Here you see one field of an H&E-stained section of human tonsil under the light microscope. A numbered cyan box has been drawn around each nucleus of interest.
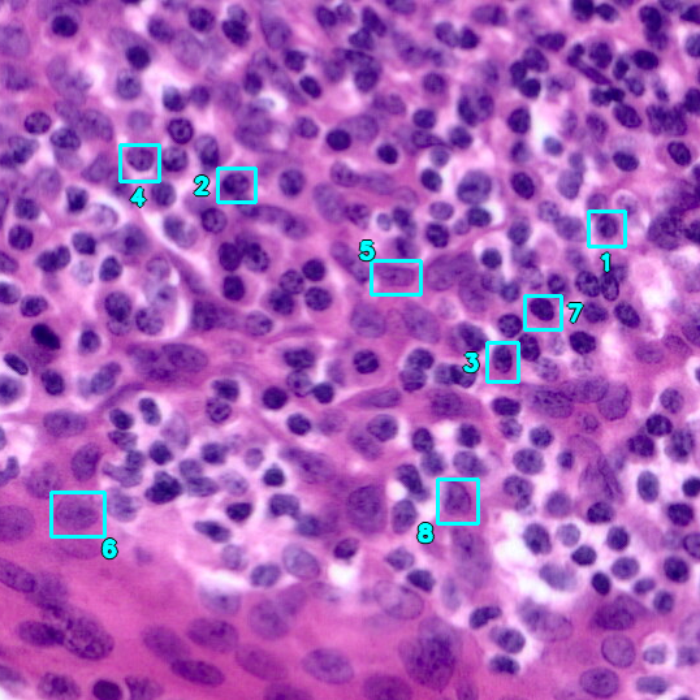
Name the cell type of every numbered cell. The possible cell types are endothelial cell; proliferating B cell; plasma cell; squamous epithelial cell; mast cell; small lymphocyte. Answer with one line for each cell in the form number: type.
1: plasma cell
2: plasma cell
3: plasma cell
4: plasma cell
5: squamous epithelial cell
6: squamous epithelial cell
7: plasma cell
8: squamous epithelial cell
